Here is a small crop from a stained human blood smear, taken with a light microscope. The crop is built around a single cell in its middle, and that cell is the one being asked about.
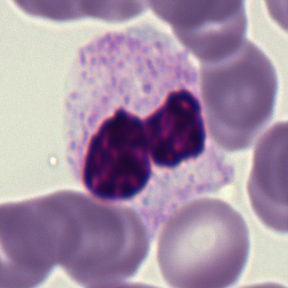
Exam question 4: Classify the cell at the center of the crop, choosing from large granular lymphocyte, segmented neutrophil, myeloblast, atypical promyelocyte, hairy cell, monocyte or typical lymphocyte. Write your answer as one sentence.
The middle cell in this particular crop is a segmented neutrophil.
